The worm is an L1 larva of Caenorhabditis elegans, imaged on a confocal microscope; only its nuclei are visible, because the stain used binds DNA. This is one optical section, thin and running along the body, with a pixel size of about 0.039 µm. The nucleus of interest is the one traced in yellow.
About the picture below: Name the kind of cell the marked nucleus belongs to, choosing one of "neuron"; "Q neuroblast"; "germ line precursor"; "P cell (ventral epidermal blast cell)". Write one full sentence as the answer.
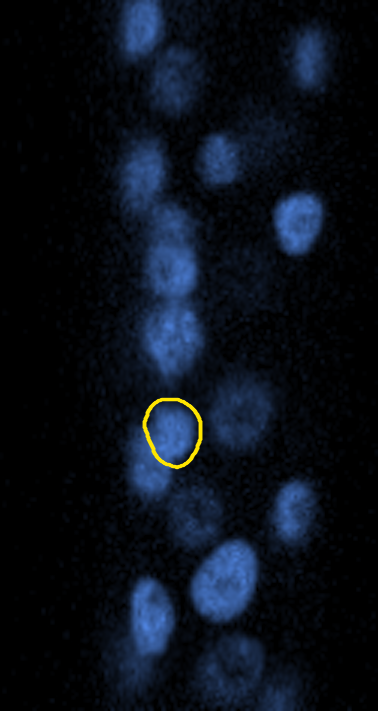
What is marked is the nucleus of a neuron.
